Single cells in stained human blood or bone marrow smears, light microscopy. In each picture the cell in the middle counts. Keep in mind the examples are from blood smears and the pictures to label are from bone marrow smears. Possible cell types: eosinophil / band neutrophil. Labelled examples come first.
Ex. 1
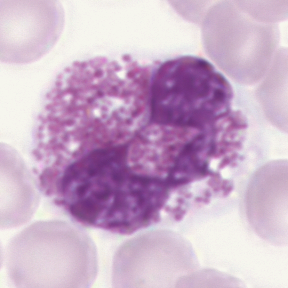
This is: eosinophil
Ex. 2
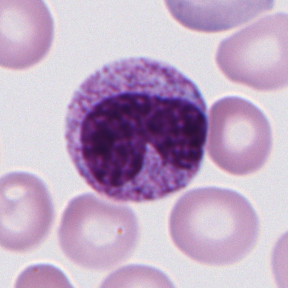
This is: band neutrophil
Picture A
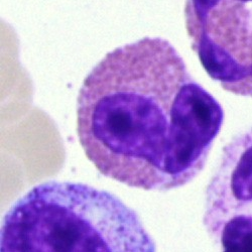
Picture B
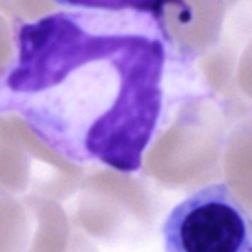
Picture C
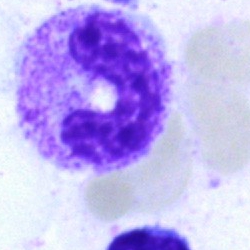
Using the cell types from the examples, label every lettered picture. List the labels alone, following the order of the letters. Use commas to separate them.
eosinophil, band neutrophil, band neutrophil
